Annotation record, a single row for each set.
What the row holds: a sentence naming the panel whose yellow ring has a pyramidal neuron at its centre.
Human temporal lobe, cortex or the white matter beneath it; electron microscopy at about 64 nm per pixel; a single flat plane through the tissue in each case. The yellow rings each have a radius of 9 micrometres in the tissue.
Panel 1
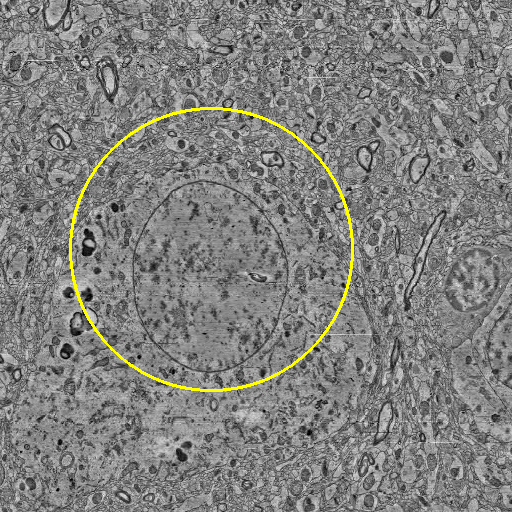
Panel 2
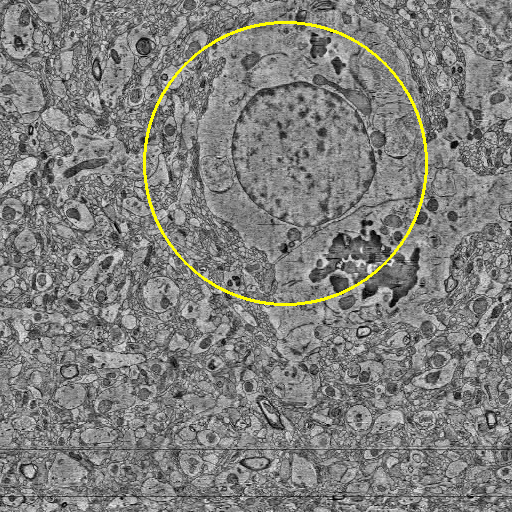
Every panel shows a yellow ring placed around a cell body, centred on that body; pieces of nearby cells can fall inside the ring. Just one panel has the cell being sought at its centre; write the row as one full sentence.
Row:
In panel 1, the cell at the middle of the yellow ring is the one sought.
